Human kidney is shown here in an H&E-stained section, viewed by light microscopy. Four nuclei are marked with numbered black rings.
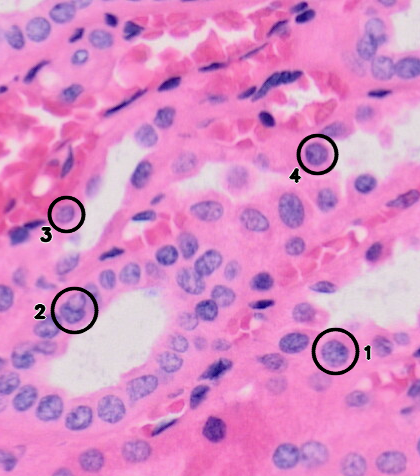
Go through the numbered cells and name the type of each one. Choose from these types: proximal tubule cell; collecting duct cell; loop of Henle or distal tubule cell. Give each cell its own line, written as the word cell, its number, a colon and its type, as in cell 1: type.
cell 1: loop of Henle or distal tubule cell
cell 2: collecting duct cell
cell 3: loop of Henle or distal tubule cell
cell 4: loop of Henle or distal tubule cell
